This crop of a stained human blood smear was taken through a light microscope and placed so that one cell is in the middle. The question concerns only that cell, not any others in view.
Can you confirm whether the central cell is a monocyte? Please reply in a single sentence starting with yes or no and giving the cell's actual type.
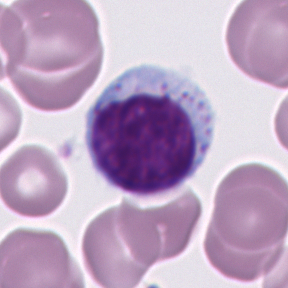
No, the cell placed at the center is a large granular lymphocyte rather than a monocyte.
